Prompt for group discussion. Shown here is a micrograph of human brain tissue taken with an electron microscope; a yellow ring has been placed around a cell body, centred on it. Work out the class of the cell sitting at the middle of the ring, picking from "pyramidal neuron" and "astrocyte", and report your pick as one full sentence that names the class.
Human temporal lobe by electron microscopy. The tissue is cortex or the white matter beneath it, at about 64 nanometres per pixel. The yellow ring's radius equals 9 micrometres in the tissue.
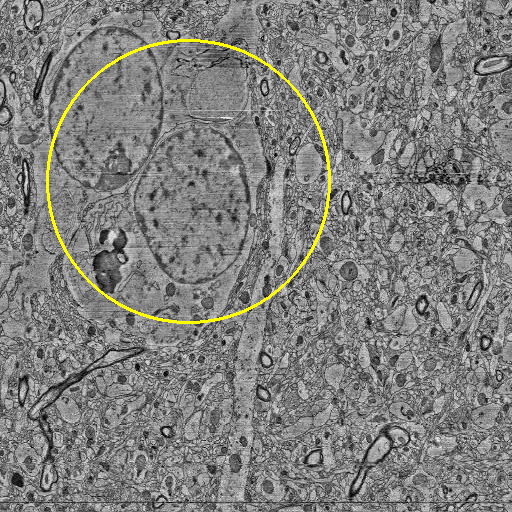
The cell sitting at the middle of the yellow ring is an astrocyte.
